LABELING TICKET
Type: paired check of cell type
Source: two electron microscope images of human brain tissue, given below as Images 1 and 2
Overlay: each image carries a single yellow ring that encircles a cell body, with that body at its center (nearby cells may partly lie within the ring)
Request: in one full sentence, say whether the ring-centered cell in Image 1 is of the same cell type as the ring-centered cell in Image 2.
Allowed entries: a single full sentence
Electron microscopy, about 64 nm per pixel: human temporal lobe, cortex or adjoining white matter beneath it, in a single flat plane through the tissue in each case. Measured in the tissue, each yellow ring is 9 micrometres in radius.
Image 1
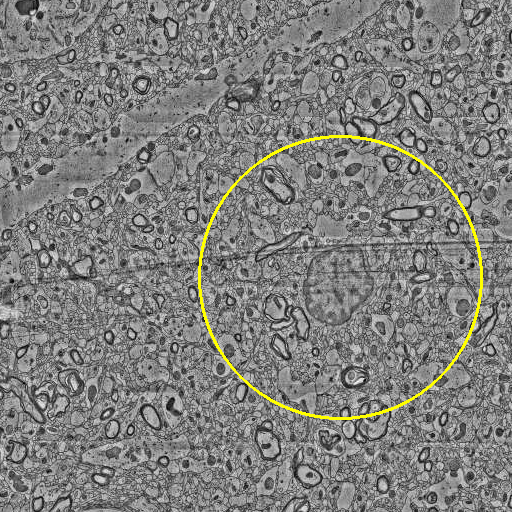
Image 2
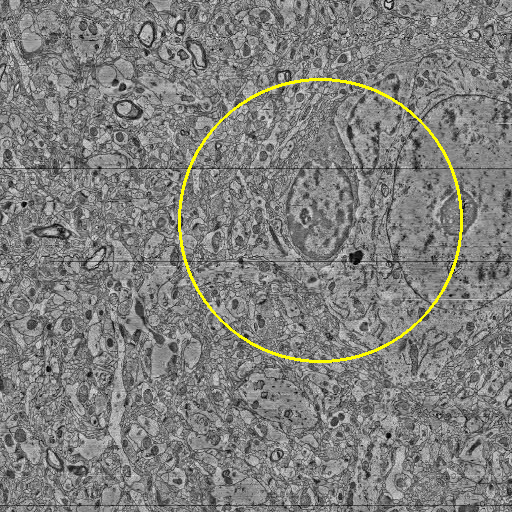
Yes, the cells centered in the rings of Image 1 and Image 2 share one type.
